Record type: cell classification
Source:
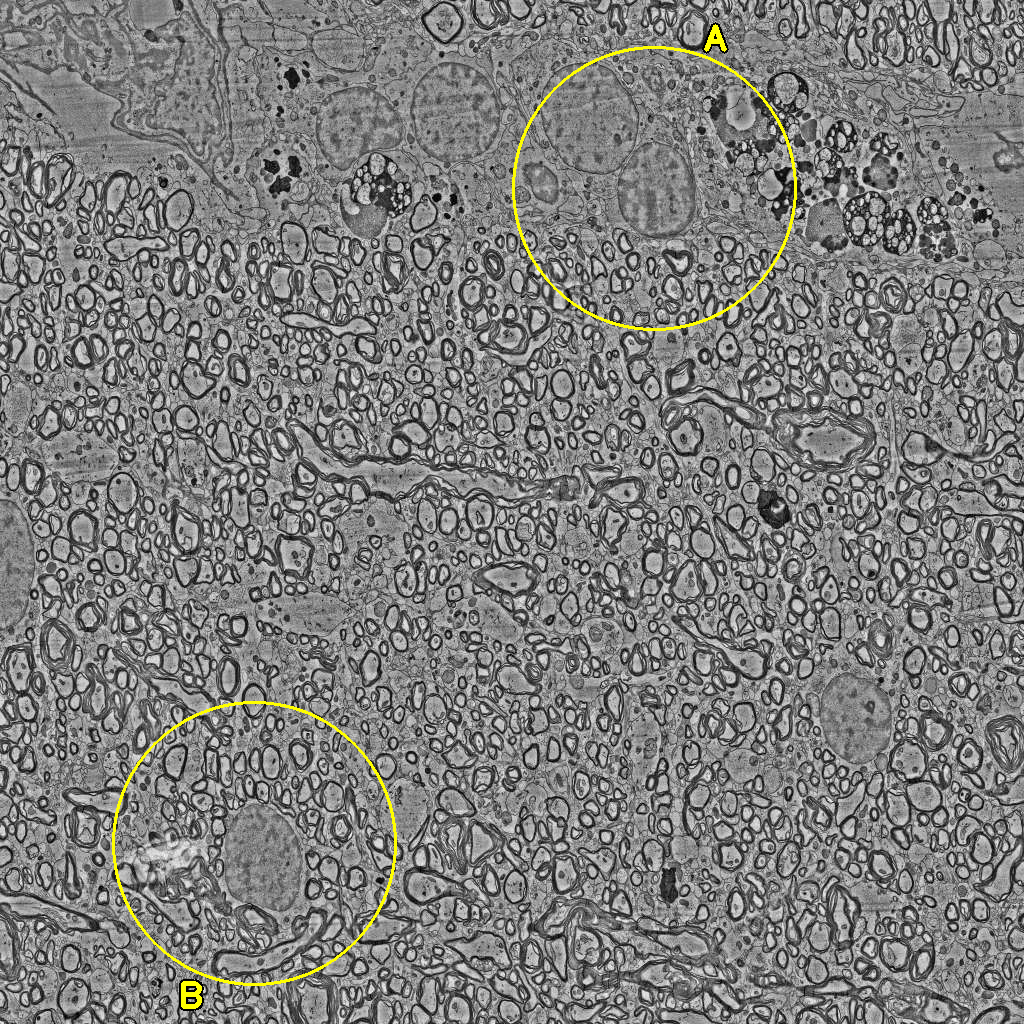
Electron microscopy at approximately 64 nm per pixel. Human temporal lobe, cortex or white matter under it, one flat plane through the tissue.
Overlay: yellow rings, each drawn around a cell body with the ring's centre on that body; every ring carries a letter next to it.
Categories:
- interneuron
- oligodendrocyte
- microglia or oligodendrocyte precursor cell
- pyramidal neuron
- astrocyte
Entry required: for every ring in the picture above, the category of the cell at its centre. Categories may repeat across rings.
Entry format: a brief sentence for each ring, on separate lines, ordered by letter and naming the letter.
At the centre of ring A lies an oligodendrocyte.
At the centre of ring B lies an oligodendrocyte.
